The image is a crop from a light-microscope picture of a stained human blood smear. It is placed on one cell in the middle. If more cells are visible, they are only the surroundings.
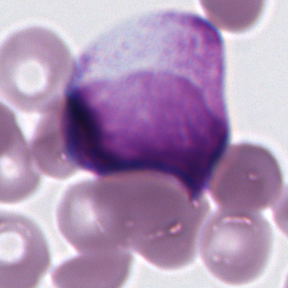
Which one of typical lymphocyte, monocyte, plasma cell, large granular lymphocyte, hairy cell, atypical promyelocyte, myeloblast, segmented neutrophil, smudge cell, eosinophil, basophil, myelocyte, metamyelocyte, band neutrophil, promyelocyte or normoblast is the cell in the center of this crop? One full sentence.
This crop has an atypical promyelocyte at its centre.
